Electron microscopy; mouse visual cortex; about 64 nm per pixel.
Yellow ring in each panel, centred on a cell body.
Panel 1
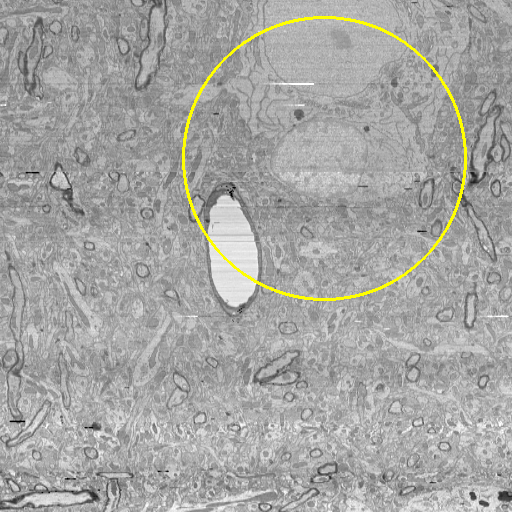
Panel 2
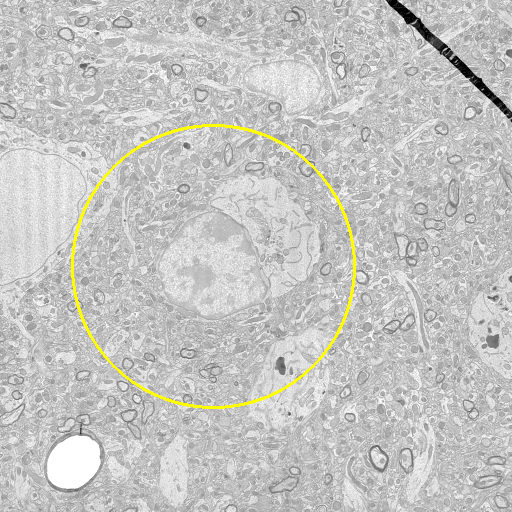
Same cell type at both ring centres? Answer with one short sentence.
Yes, both cells are of the same type.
